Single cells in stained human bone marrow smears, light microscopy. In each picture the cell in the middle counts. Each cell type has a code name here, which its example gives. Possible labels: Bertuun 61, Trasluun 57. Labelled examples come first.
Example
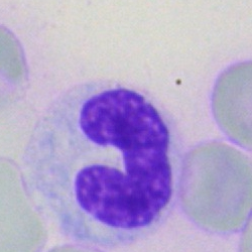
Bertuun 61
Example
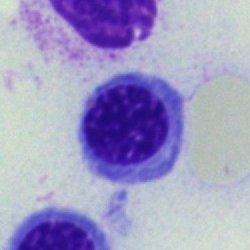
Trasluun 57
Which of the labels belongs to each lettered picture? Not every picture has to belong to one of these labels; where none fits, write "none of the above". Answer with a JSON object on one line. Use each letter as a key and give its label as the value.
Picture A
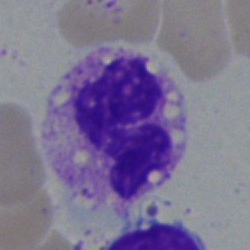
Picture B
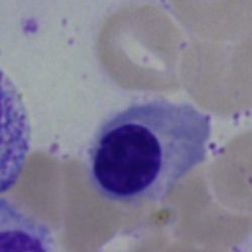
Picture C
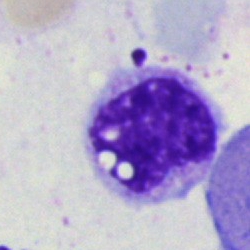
{"A": "Bertuun 61", "B": "Trasluun 57", "C": "none of the above"}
